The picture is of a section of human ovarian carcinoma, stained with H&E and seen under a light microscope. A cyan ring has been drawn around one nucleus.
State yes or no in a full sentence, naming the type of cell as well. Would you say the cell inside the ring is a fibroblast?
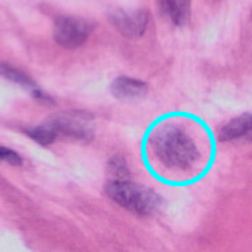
Yes, it is a fibroblast that the cell inside the ring represents in this section.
